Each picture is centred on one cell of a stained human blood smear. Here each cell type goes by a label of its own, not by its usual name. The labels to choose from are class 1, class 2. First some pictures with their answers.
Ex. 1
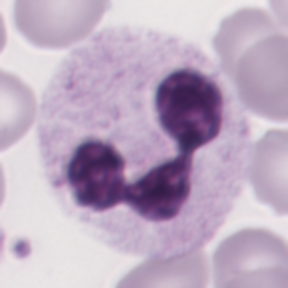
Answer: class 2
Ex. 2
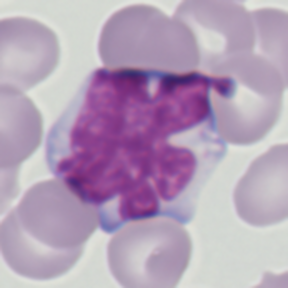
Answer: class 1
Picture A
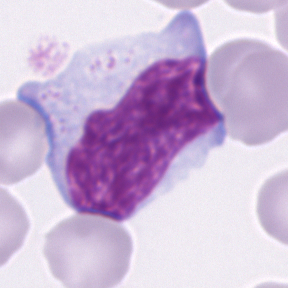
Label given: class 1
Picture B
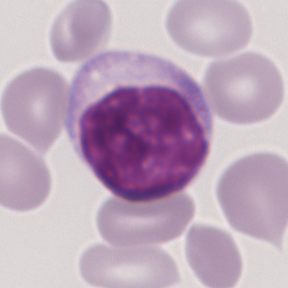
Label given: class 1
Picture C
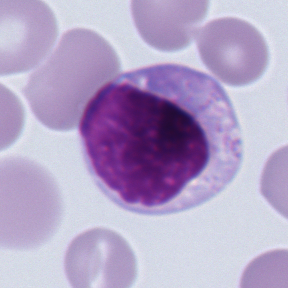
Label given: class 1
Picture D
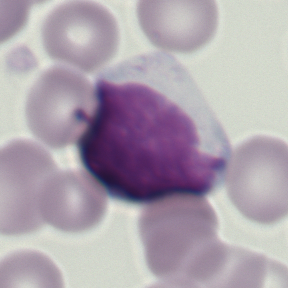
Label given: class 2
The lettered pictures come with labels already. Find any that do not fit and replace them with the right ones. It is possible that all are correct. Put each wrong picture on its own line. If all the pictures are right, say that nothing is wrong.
D: change class 2 to class 1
